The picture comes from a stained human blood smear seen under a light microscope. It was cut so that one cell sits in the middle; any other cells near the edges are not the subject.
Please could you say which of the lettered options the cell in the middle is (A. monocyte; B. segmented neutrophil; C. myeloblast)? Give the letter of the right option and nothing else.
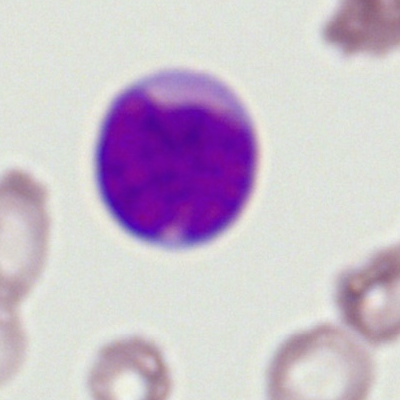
C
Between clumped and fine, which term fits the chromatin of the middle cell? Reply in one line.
One feature to record is coarsely clumped chromatin.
